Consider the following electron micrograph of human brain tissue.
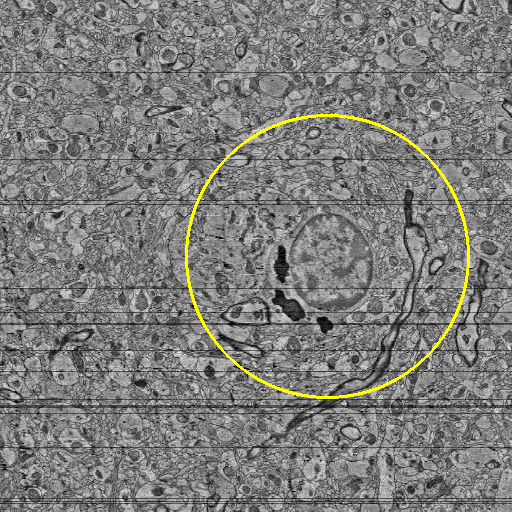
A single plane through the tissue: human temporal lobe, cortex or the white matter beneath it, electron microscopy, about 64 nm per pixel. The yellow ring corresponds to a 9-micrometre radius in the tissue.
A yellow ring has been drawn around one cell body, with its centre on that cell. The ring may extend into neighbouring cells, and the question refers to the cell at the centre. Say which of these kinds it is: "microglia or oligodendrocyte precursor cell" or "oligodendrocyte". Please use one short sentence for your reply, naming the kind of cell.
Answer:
The centre of the ring falls on an oligodendrocyte.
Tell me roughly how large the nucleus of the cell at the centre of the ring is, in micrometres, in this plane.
In this plane, approximately 6 by 5 micrometers.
